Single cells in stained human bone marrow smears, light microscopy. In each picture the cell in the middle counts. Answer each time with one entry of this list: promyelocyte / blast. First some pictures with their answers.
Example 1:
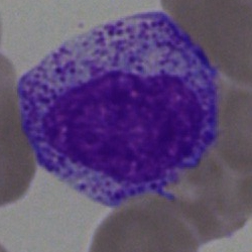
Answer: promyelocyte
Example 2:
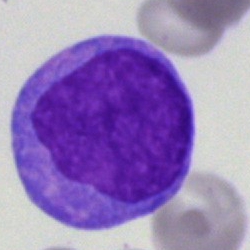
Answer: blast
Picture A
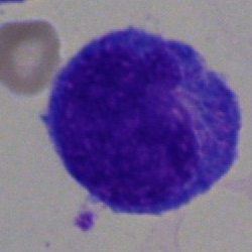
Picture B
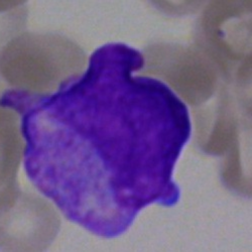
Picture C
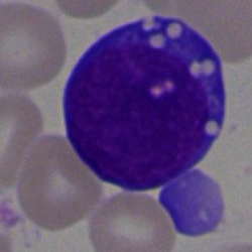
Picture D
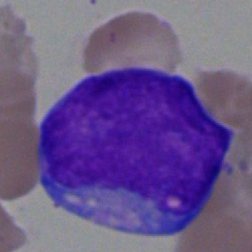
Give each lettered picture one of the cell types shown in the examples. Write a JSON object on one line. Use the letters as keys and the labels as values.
{"A": "promyelocyte", "B": "blast", "C": "blast", "D": "blast"}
